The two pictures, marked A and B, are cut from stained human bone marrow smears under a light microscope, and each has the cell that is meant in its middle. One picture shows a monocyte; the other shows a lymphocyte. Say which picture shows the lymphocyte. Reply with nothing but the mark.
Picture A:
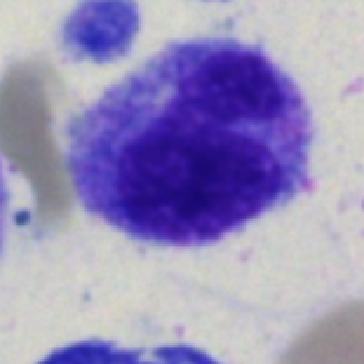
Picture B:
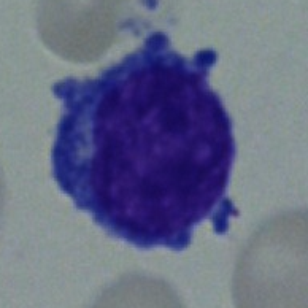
B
